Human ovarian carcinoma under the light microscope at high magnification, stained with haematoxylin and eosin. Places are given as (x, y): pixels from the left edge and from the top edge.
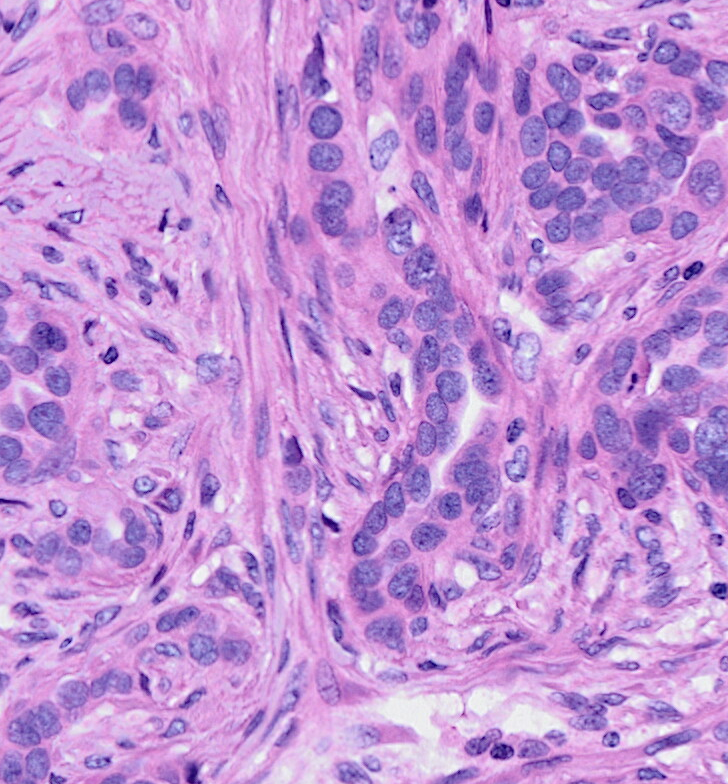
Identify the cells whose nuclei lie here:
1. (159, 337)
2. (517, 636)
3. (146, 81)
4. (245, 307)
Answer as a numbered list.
1. fibroblast
2. fibroblast
3. carcinoma cell
4. fibroblast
